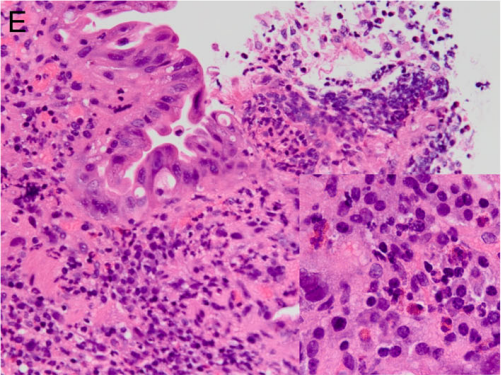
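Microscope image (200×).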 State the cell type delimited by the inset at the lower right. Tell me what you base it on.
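Cells in the inset have bright pink-red granular cytoplasm. Several of these cells have lobed, dark nuclei. The cells lie clustered together in the inset.
Answer: eosinophils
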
